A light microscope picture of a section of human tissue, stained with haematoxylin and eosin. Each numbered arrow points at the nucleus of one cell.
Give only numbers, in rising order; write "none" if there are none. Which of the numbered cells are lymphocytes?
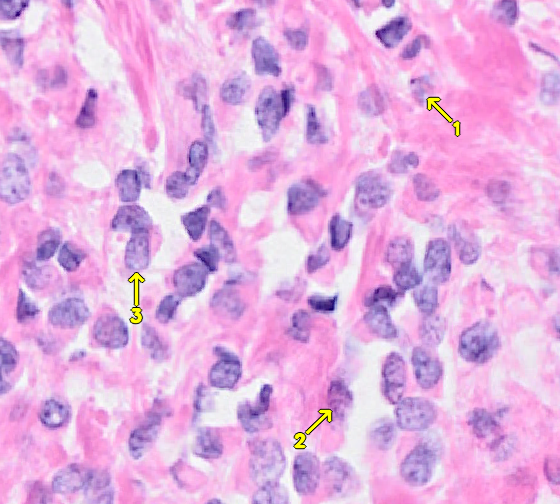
none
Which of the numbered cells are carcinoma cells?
2, 3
